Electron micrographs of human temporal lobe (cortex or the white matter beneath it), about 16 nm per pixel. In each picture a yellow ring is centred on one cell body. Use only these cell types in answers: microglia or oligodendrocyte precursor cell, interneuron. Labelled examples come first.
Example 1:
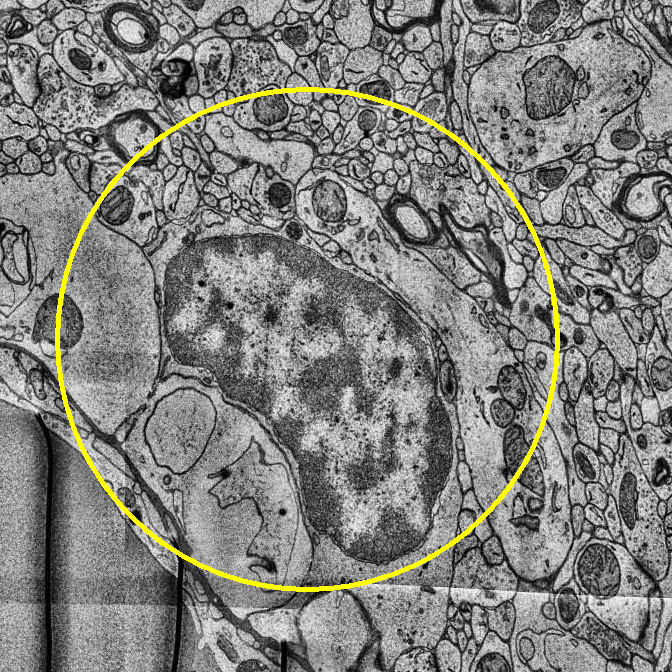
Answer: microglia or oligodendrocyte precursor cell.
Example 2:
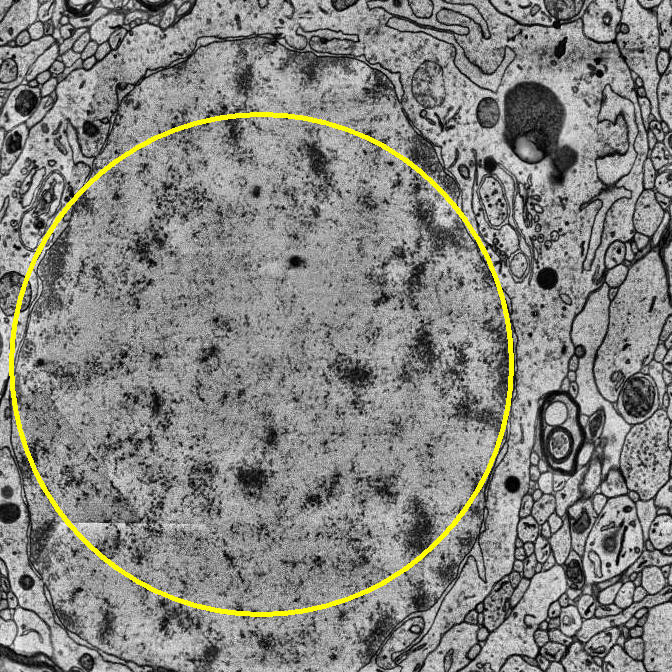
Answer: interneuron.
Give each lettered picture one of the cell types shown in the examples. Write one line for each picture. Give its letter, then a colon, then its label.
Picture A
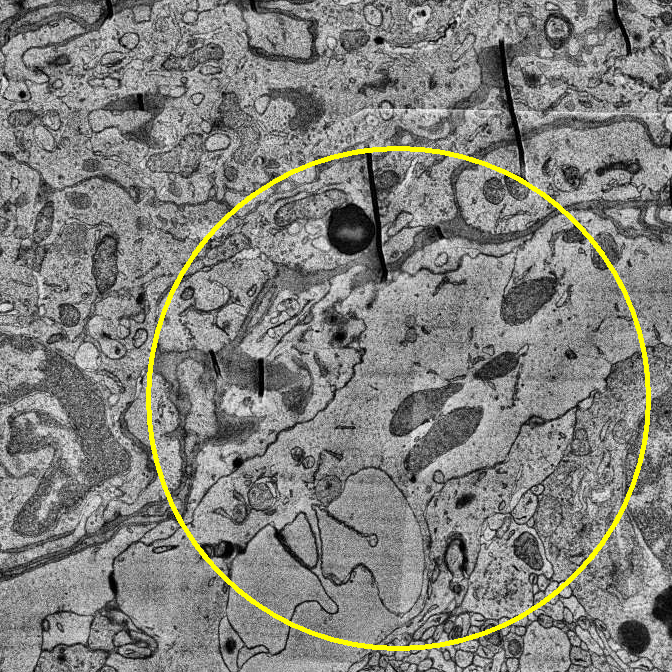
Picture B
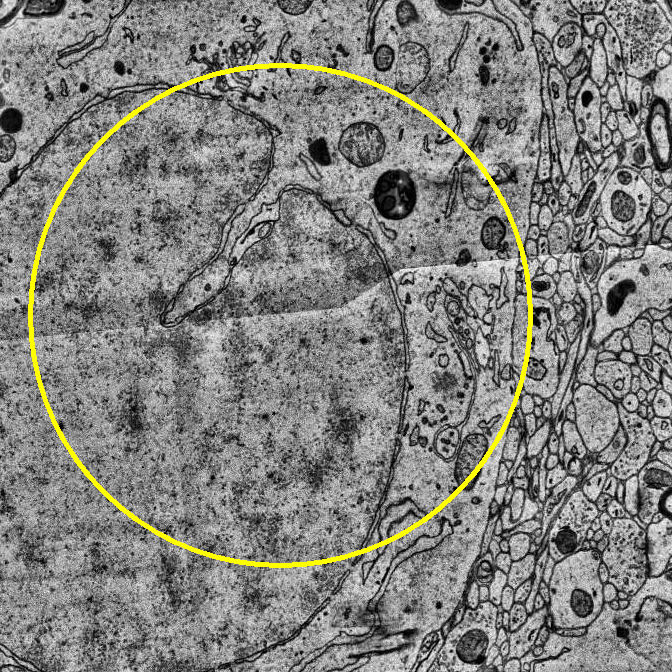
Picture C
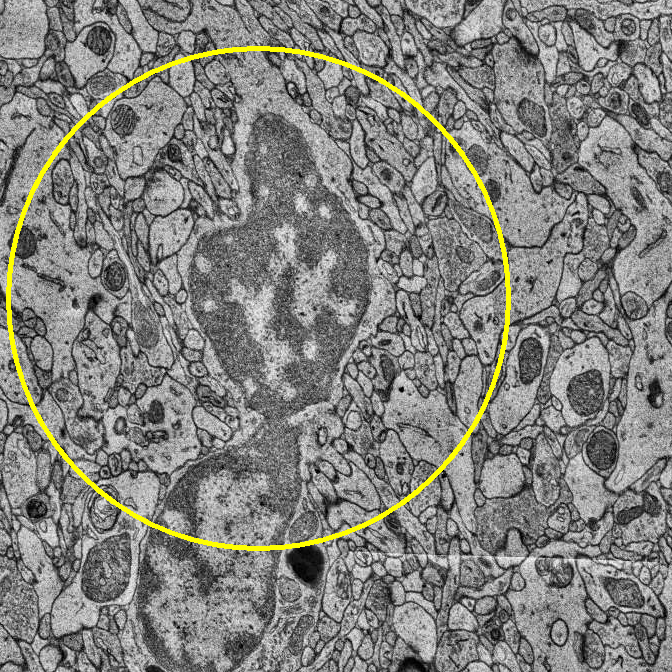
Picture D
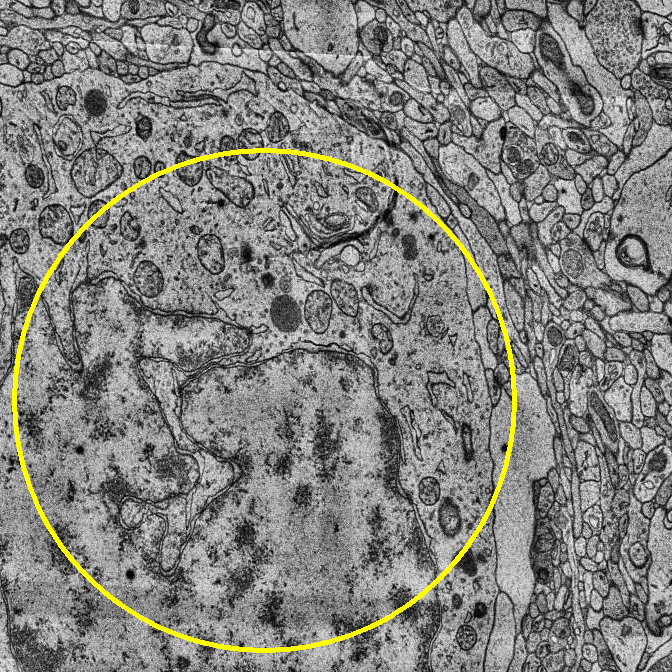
A: microglia or oligodendrocyte precursor cell.
B: interneuron.
C: microglia or oligodendrocyte precursor cell.
D: interneuron.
